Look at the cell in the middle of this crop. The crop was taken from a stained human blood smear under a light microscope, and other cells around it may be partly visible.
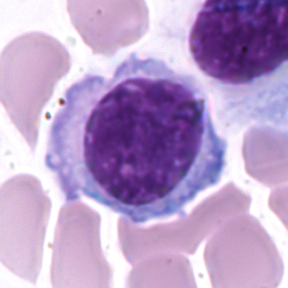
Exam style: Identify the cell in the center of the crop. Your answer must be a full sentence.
The cell at the middle of the frame should be recorded as a plasma cell.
